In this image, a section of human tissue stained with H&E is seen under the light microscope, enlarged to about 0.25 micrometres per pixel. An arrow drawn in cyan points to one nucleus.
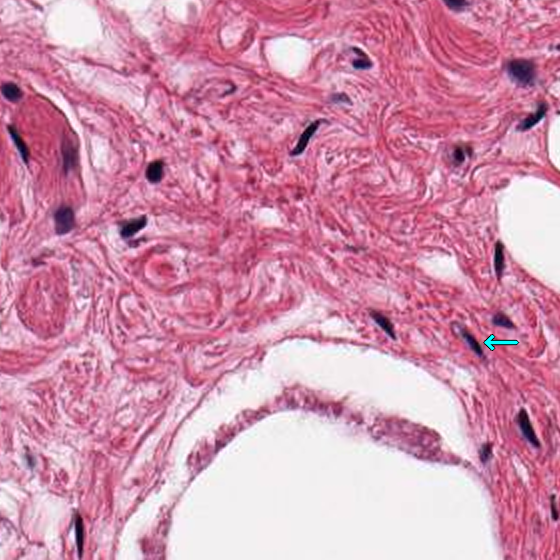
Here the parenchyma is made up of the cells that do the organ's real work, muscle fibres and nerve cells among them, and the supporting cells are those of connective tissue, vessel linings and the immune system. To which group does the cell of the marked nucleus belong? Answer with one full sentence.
A supporting cell is what the marked nucleus belongs to.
